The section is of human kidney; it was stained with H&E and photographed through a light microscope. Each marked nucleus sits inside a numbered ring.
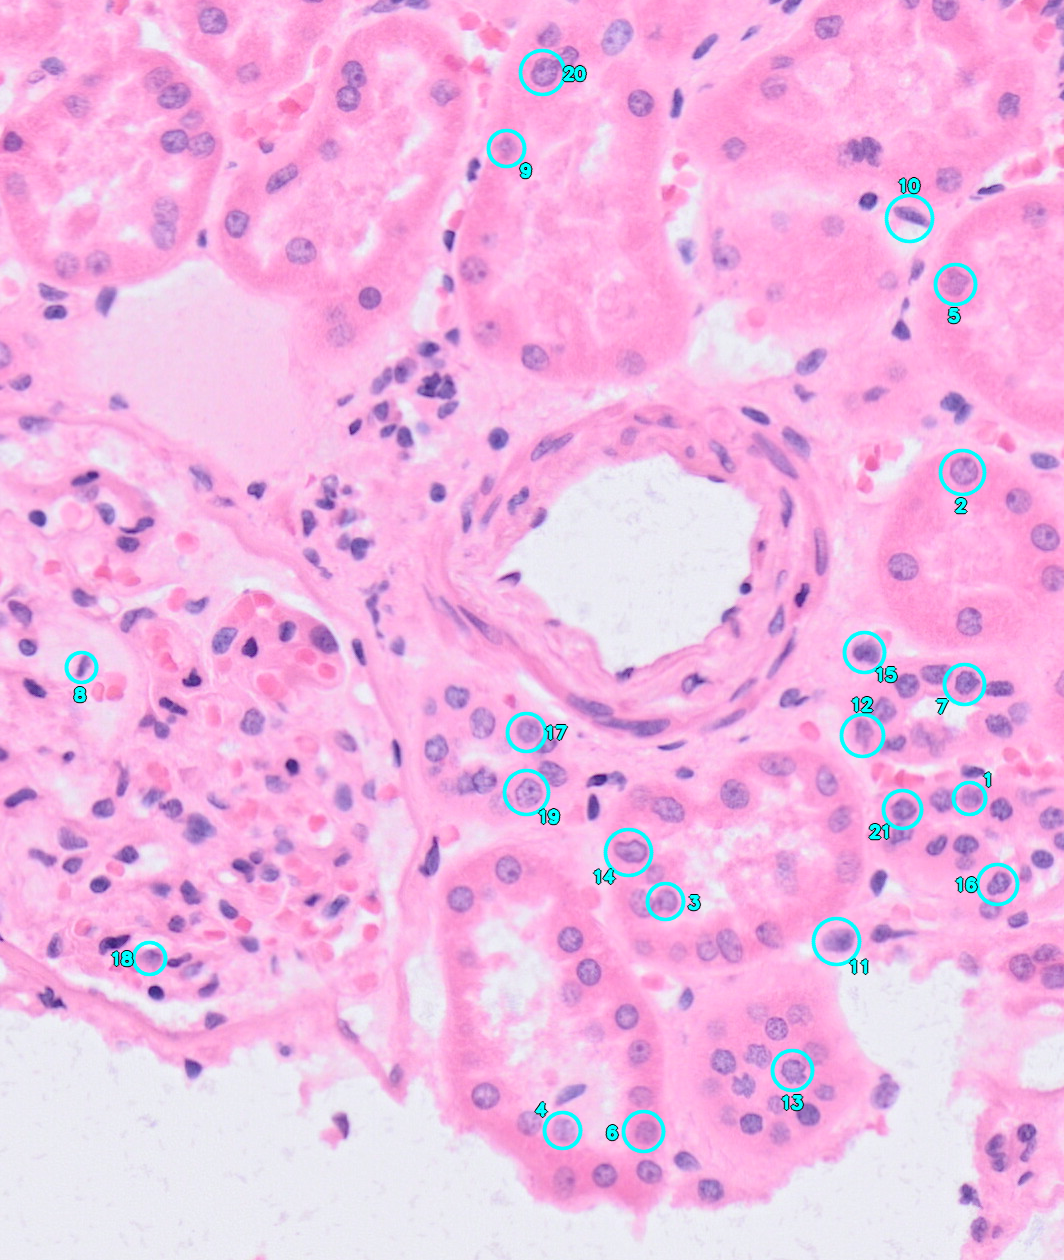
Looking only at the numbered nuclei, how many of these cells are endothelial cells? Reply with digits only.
5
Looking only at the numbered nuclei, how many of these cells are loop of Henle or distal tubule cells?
1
